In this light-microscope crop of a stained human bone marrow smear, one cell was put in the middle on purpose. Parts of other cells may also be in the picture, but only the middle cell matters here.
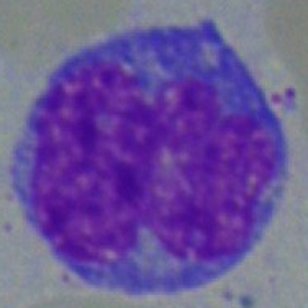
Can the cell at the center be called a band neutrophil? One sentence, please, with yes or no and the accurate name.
No, it is a monocyte rather than a band neutrophil that the middle of the crop contains.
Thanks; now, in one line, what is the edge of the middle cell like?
The boundary of the cell runs irregularly, ragged in parts or drawn into projections.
